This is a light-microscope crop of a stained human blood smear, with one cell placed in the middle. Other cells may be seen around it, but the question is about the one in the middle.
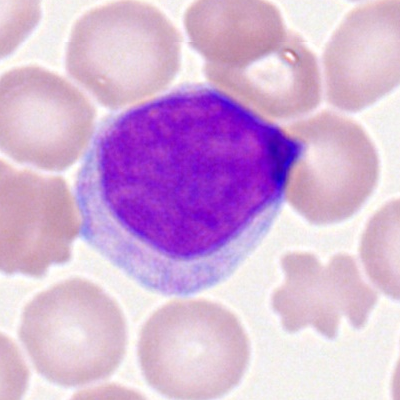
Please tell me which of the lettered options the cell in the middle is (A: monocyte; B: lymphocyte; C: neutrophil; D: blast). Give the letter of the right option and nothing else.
D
